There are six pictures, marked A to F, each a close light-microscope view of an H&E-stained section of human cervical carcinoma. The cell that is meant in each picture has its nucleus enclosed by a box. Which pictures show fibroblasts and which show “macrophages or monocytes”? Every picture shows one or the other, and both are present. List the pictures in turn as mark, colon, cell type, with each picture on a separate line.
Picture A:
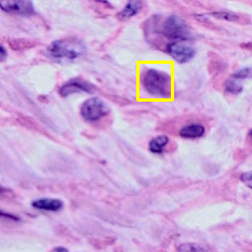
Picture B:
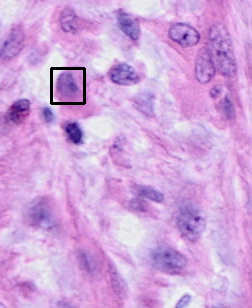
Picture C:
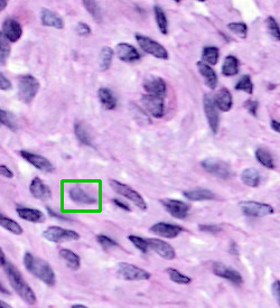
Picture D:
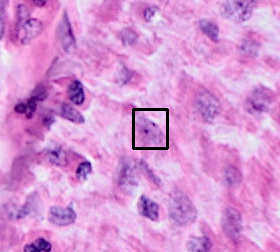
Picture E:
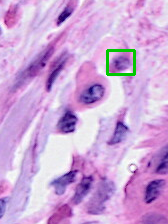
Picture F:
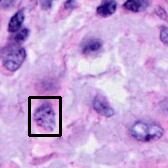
A: macrophage or monocyte
B: macrophage or monocyte
C: fibroblast
D: fibroblast
E: macrophage or monocyte
F: macrophage or monocyte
